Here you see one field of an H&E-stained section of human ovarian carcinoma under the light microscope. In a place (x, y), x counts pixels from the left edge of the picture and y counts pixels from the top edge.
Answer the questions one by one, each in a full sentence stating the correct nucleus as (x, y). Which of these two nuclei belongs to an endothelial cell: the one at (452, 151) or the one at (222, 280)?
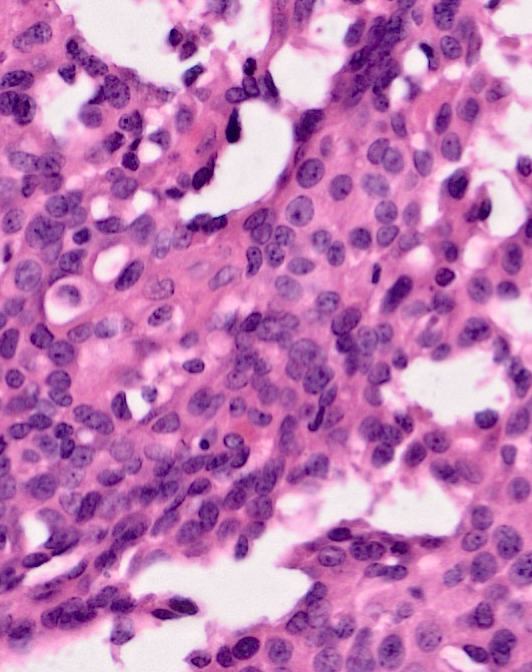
That would be the nucleus at (222, 280); it belongs to an endothelial cell.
